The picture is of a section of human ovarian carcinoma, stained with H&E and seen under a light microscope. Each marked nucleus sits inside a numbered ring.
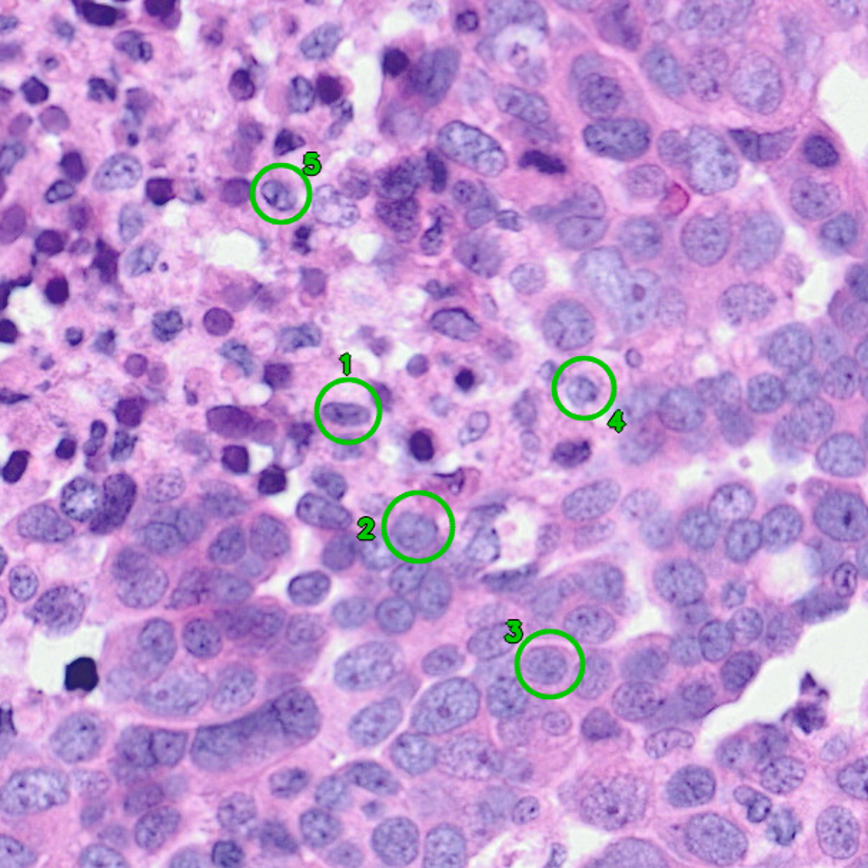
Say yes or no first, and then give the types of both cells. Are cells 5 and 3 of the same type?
No, cell 5 is a macrophage or monocyte and cell 3 is a carcinoma cell.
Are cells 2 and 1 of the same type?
No, cell 2 is a carcinoma cell and cell 1 is a macrophage or monocyte.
